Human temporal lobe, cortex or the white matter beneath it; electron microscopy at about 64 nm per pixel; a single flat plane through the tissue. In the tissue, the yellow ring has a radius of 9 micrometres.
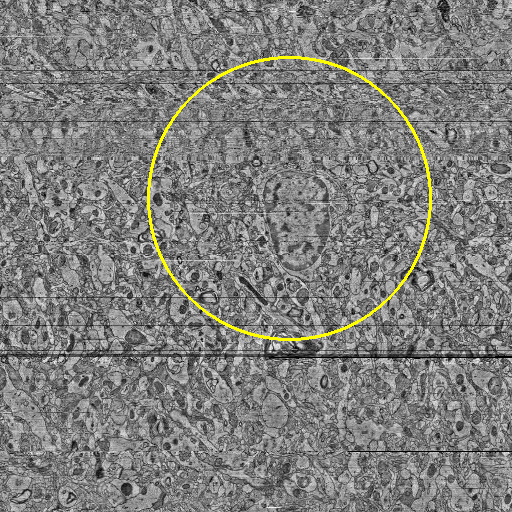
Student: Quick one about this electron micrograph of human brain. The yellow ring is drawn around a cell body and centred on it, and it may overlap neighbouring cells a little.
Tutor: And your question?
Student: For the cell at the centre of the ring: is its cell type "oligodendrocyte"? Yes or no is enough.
no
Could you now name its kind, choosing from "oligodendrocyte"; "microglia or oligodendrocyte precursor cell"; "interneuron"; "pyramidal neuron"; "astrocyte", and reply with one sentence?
Instead, the cell at the centre of the ring is a microglial cell or oligodendrocyte precursor cell.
